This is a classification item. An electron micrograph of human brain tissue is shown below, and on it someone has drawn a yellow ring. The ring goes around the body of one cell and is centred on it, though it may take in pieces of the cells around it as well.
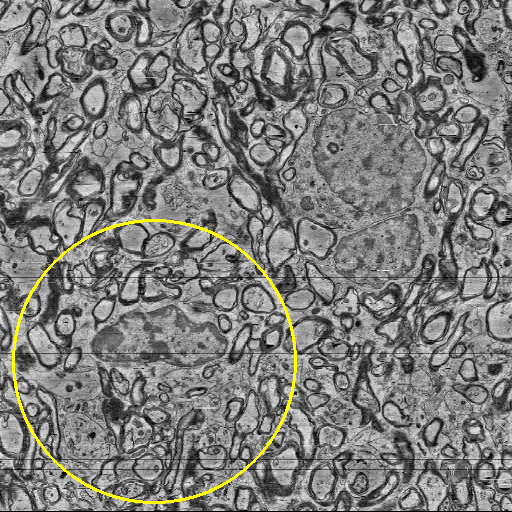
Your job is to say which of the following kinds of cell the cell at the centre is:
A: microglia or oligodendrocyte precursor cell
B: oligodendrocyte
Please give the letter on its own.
A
